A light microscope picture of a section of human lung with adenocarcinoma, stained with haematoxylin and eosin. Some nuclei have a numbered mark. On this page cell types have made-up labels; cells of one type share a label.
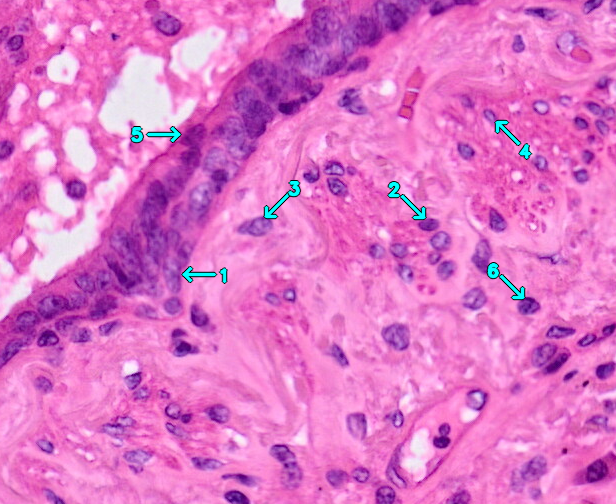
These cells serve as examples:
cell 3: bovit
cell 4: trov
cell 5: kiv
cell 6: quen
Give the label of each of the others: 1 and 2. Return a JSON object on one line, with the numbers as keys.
{"1": "kiv", "2": "trov"}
